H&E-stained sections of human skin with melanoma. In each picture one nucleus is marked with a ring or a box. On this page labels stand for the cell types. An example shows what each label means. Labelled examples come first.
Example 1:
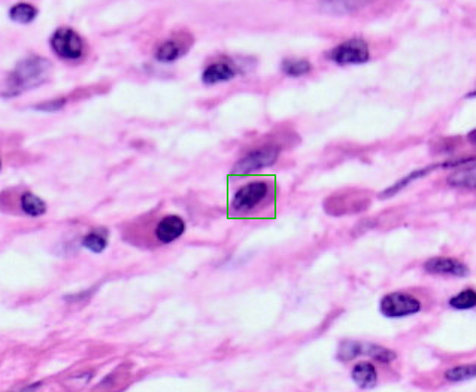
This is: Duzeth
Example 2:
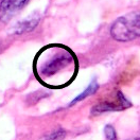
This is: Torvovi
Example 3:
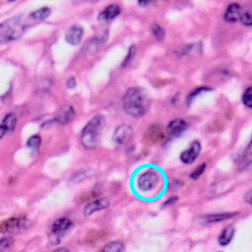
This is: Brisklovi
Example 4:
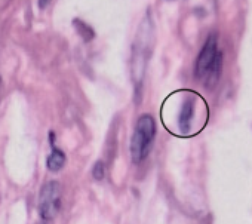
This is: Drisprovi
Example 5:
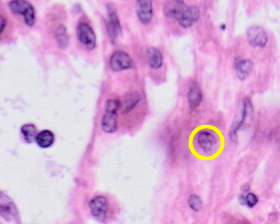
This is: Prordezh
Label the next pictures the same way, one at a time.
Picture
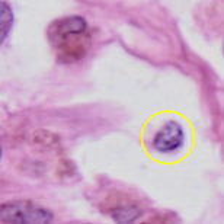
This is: Brisklovi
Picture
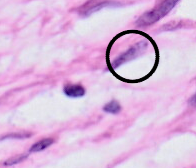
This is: Drisprovi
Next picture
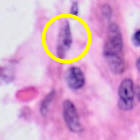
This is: Drisprovi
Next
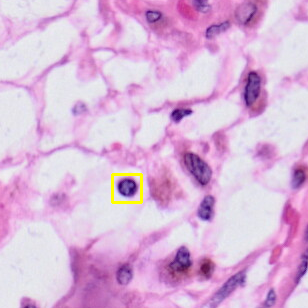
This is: Brisklovi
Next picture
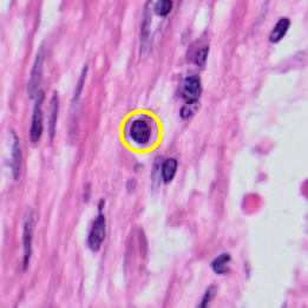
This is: Duzeth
